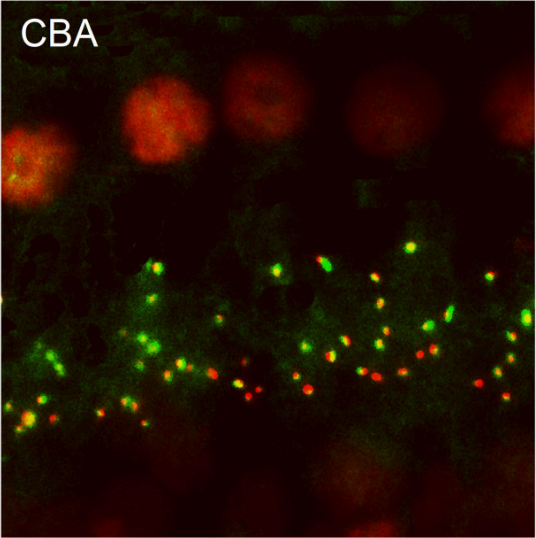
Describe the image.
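This cochlear whole-mount shows ribbon synapses as numerous tiny red and green puncta lying side by side, some overlapping to appear yellow. Diffuse green labelling fills the region around the puncta.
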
